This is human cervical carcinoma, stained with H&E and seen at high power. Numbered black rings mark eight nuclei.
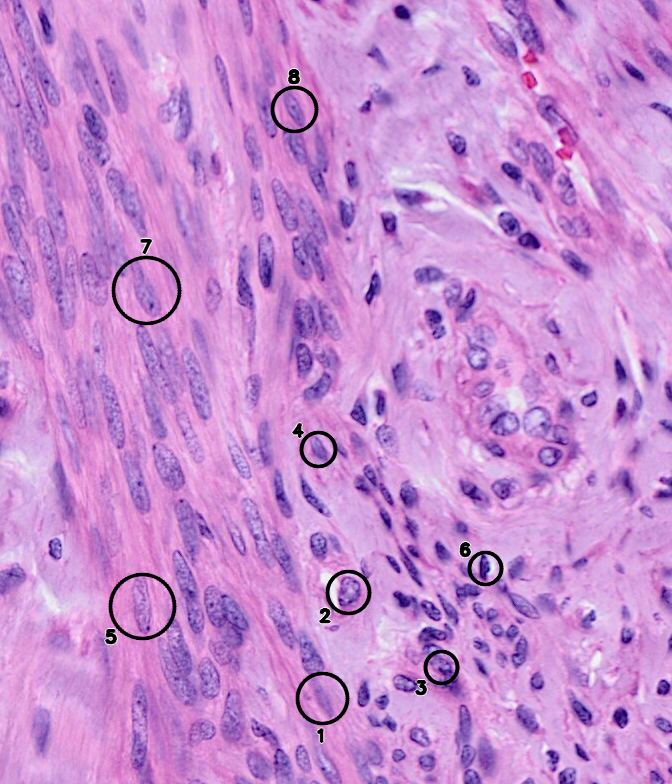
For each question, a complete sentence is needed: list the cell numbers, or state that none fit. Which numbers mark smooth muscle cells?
The cells tagged with numbers 1, 4, 5, 7 and 8 are smooth muscle cells.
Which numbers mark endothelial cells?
The cells 2 and 3 in this section are endothelial cells.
